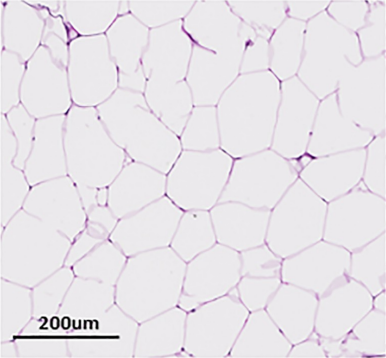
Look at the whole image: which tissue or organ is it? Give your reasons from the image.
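The field is filled with large clear polygonal spaces bounded by thin pink membranes. No other tissue type, such as muscle or gland, is visible between the cells. Scattered small dark purple dots lie at the junctions of cell borders.
Conclusion: fat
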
